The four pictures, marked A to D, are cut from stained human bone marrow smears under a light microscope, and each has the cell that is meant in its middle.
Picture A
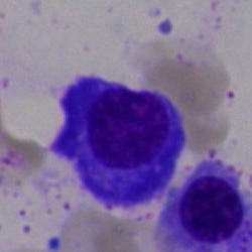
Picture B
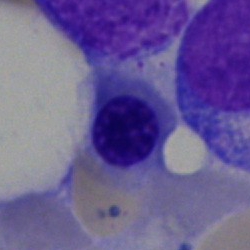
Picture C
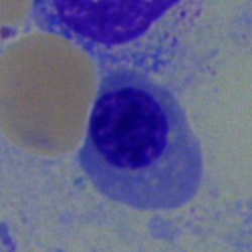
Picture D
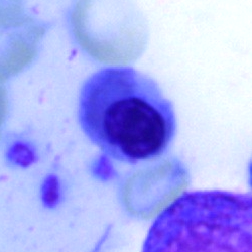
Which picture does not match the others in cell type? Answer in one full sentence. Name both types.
Unlike the rest, which show erythroblasts, picture A shows a plasma cell.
